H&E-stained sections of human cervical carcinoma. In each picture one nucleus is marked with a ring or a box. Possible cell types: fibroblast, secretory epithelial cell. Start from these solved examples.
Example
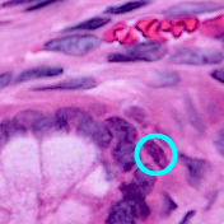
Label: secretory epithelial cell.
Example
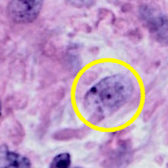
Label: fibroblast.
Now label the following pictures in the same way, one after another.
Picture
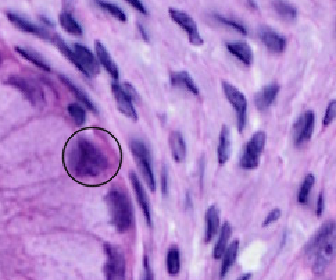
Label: secretory epithelial cell.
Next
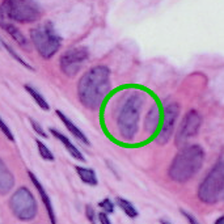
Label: secretory epithelial cell.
